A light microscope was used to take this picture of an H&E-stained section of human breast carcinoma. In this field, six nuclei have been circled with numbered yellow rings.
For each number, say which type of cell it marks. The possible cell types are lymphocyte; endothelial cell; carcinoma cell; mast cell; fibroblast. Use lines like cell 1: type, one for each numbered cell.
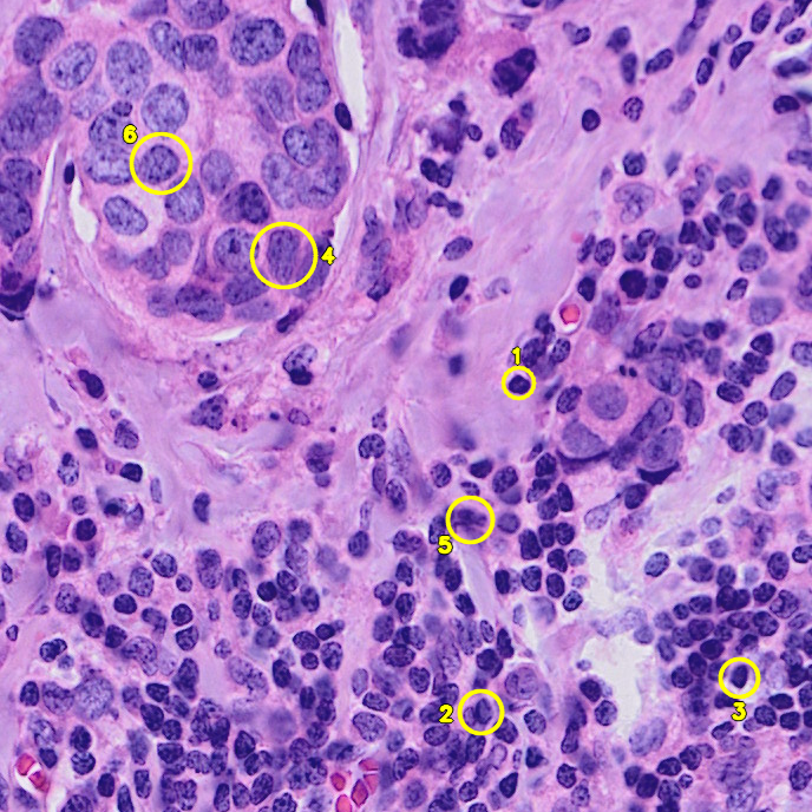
cell 1: lymphocyte
cell 2: lymphocyte
cell 3: lymphocyte
cell 4: carcinoma cell
cell 5: lymphocyte
cell 6: carcinoma cell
